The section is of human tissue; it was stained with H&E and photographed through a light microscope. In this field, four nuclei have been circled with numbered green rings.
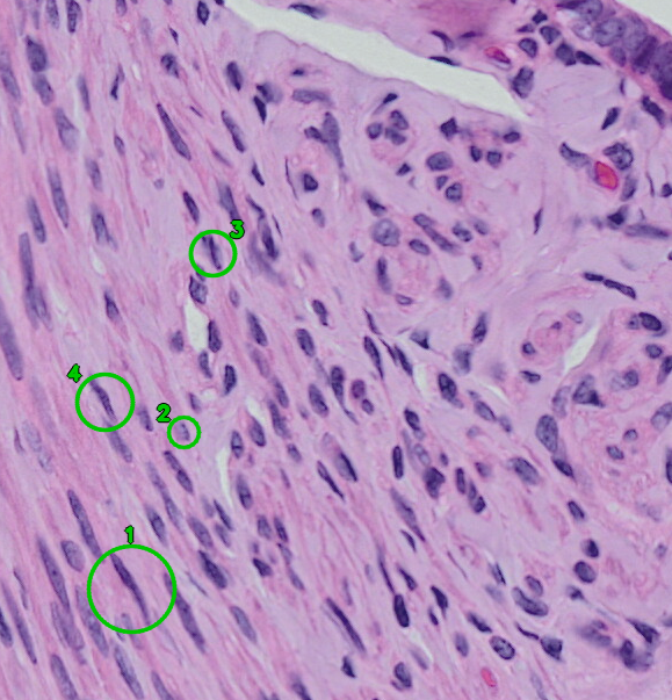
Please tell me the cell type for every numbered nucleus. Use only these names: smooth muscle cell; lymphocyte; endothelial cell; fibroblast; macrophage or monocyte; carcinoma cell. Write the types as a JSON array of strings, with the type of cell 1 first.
["smooth muscle cell", "smooth muscle cell", "fibroblast", "smooth muscle cell"]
